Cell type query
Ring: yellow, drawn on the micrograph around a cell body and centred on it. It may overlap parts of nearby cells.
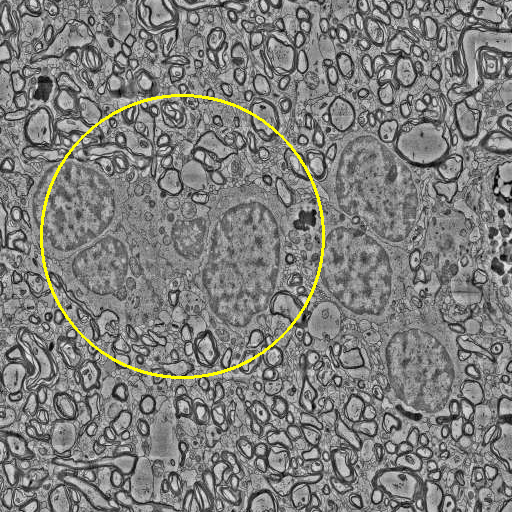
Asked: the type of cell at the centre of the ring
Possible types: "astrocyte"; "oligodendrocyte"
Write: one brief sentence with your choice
The ring marks an oligodendrocyte.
